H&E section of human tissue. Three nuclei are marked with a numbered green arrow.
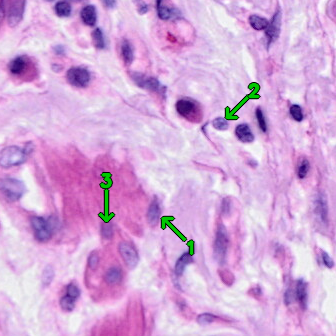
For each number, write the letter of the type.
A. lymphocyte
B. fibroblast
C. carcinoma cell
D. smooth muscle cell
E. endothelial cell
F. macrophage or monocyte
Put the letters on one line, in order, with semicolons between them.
D; A; D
